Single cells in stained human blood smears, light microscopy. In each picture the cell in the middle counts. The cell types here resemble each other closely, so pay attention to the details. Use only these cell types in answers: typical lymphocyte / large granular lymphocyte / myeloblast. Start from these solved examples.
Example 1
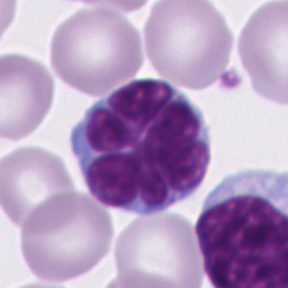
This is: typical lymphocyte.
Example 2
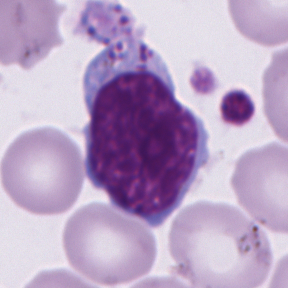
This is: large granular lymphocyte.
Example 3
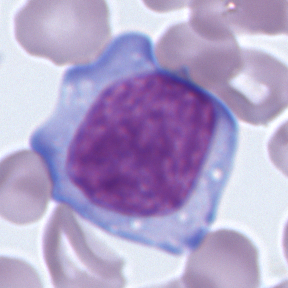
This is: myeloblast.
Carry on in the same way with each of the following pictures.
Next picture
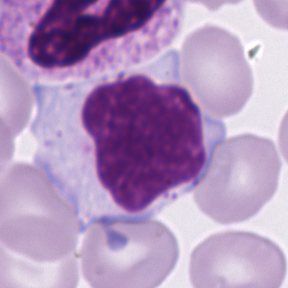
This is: large granular lymphocyte.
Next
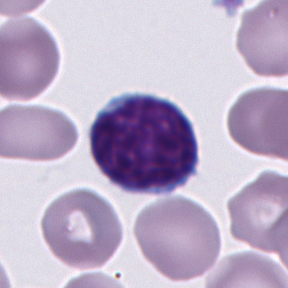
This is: typical lymphocyte.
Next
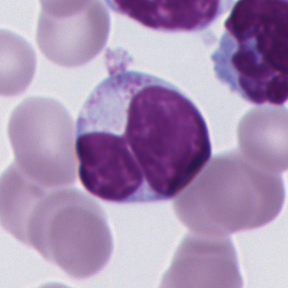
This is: large granular lymphocyte.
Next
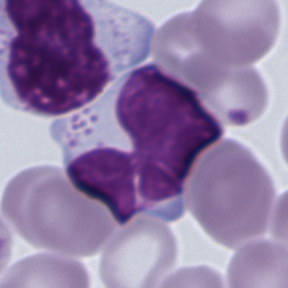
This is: large granular lymphocyte.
